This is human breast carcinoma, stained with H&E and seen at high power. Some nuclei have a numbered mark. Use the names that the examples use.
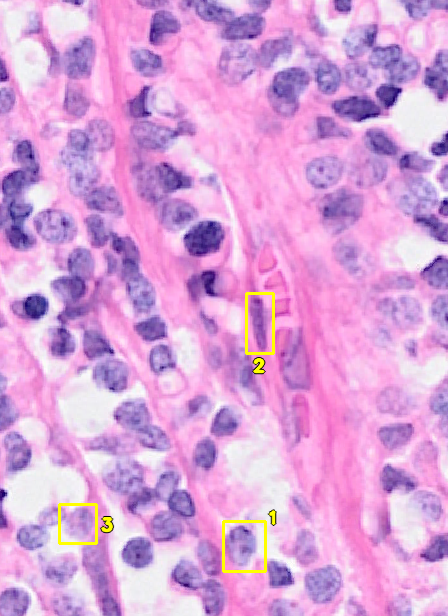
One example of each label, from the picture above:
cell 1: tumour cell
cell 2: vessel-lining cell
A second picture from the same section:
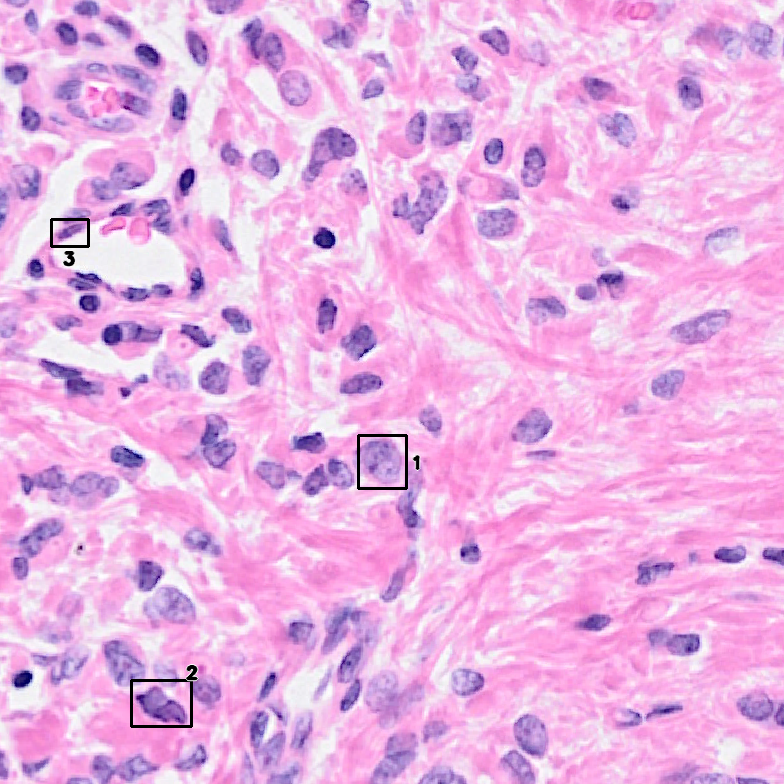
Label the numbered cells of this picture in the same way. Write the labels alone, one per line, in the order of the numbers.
tumour cell
tumour cell
vessel-lining cell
